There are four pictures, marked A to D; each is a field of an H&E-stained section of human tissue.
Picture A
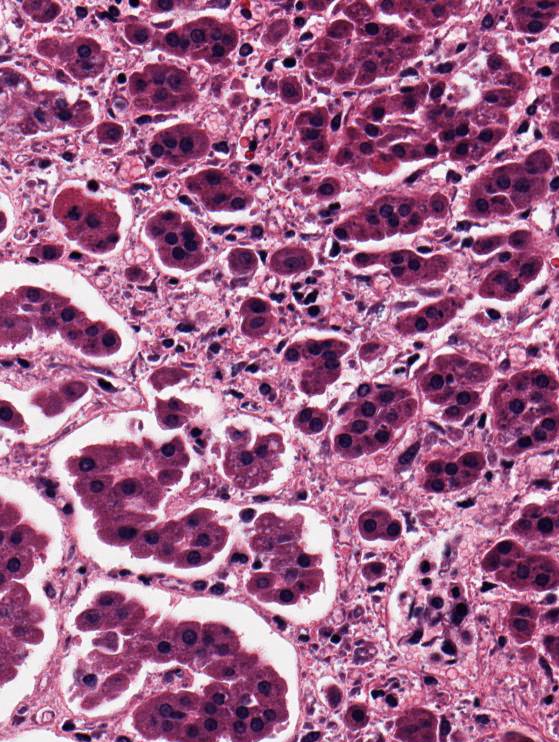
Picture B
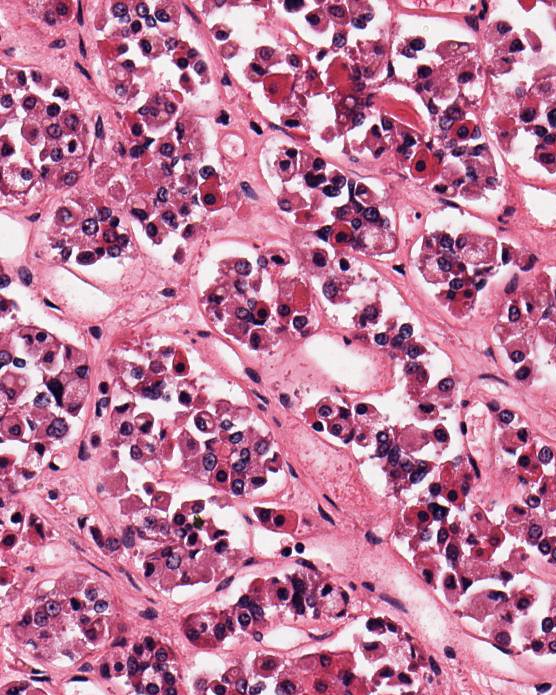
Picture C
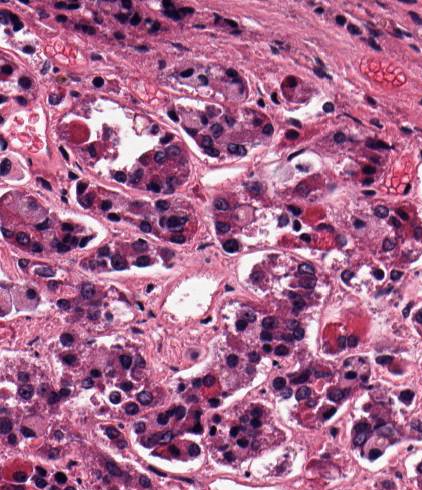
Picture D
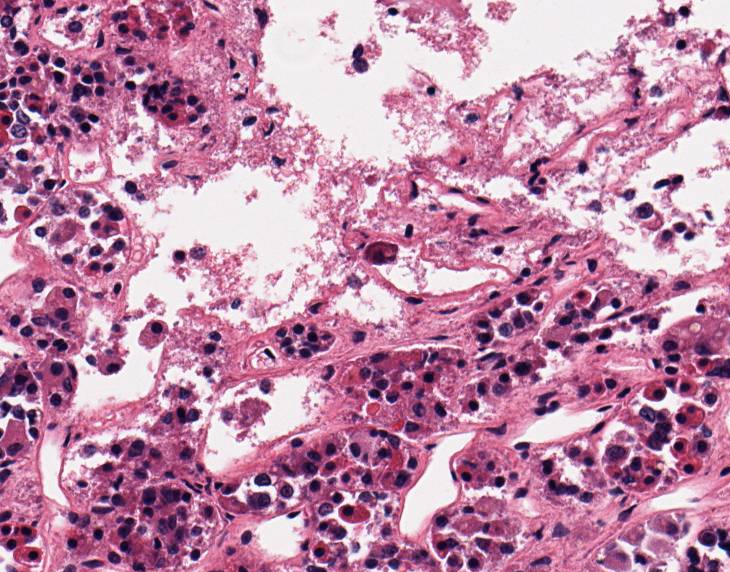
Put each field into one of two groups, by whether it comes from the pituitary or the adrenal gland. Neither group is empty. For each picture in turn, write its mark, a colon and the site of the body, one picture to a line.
A: adrenal gland
B: pituitary
C: pituitary
D: pituitary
